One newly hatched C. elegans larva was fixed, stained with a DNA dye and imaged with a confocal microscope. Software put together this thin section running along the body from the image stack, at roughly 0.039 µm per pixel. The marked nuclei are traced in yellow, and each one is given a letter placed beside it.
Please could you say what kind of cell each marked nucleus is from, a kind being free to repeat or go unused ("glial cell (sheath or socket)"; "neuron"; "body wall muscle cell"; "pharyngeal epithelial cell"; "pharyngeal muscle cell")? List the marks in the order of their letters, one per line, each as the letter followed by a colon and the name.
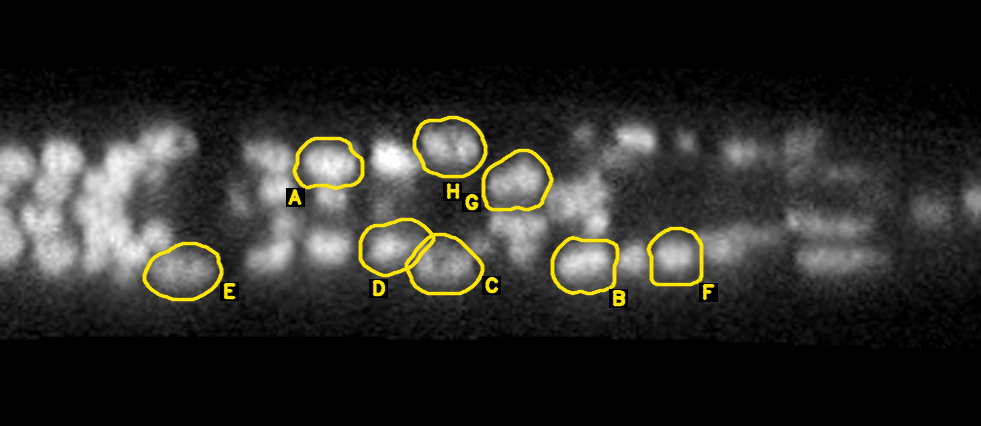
A: neuron
B: glial cell (sheath or socket)
C: body wall muscle cell
D: glial cell (sheath or socket)
E: body wall muscle cell
F: glial cell (sheath or socket)
G: pharyngeal muscle cell
H: body wall muscle cell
